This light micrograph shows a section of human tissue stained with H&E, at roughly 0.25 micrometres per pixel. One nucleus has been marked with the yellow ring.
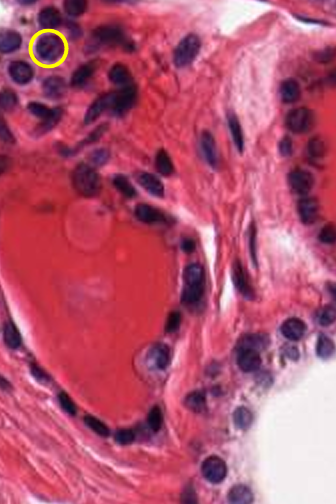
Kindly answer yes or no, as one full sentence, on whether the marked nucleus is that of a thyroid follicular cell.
Yes, it is a thyroid follicular cell that holds the marked nucleus.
